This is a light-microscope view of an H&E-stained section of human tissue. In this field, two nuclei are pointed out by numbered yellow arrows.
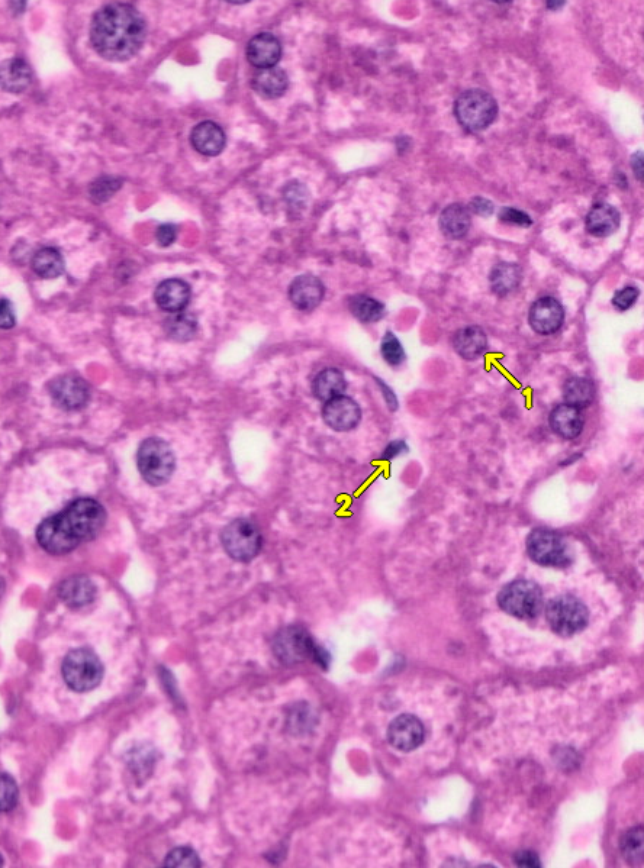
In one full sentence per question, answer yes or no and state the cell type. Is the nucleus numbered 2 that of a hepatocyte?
No, the cell at number 2 is an endothelial cell instead of a hepatocyte.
